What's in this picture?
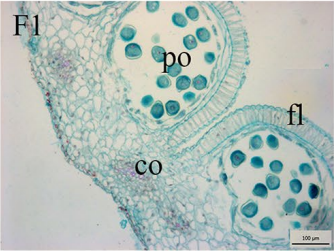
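Cross-section through a mature anther with two locules holding rounded pollen grains stained deep blue-green. The anther wall is reduced to an outer fibrous layer of radially elongated cells with thickened walls. The locules are joined by connectivum made of thin-walled, pale parenchyma cells.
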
